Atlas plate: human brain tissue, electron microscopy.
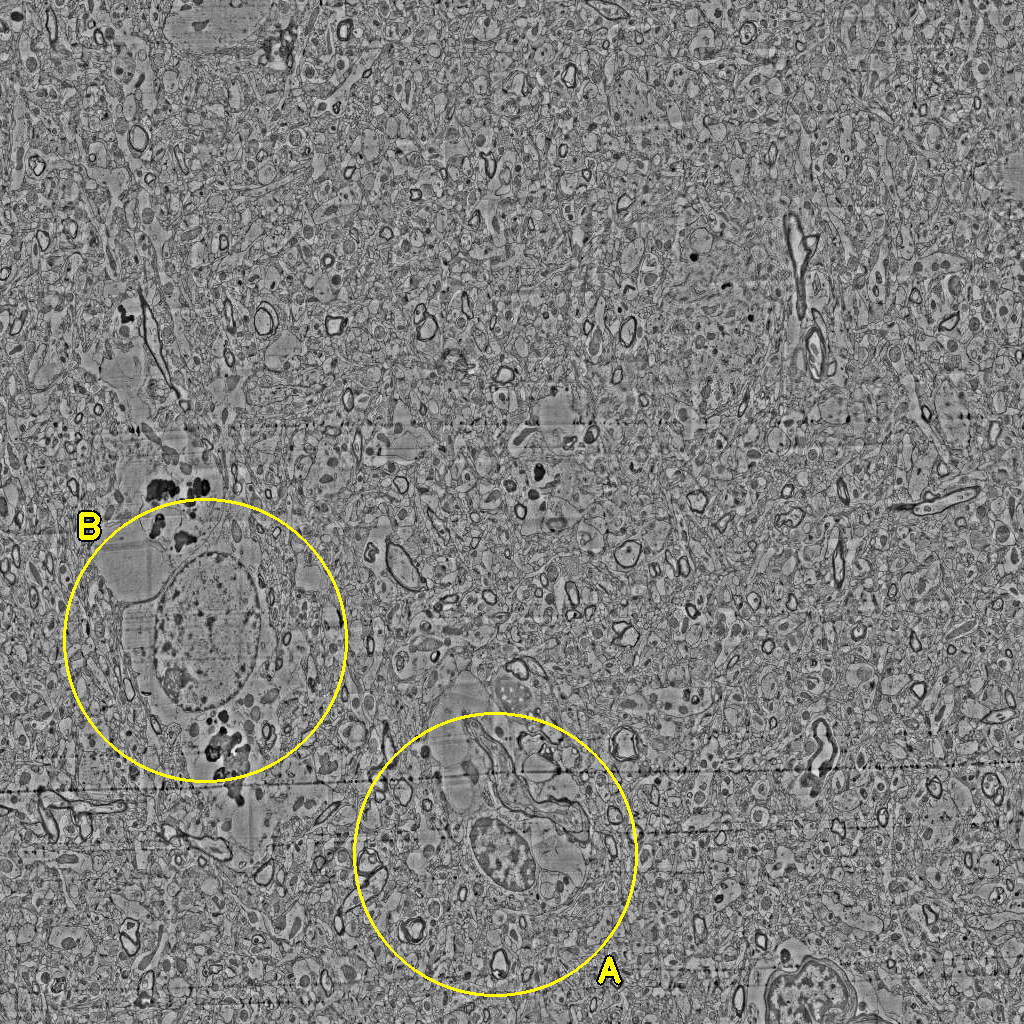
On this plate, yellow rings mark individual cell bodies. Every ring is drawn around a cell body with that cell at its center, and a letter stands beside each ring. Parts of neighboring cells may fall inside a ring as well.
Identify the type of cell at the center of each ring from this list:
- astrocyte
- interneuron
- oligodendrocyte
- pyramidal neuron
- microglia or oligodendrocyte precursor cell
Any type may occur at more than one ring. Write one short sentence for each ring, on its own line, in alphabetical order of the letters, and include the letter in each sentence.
At the center of ring A lies a microglial cell or oligodendrocyte precursor cell.
At the center of ring B lies an astrocyte.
